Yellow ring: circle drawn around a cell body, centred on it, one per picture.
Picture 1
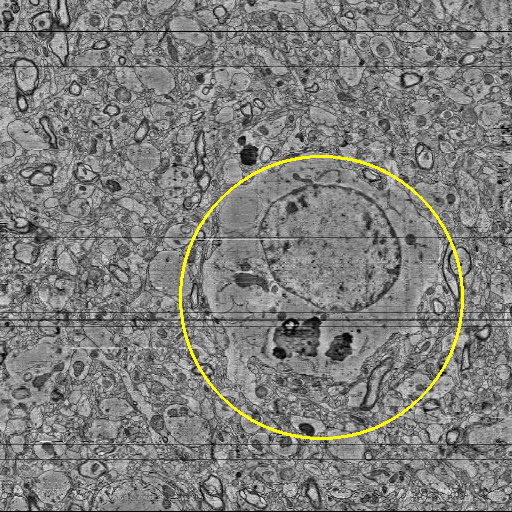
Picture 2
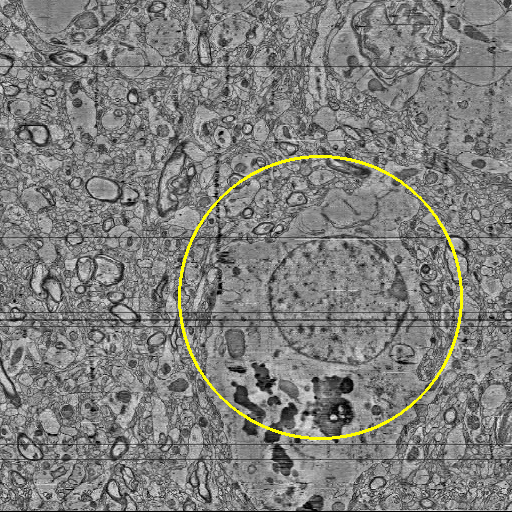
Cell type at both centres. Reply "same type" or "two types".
same type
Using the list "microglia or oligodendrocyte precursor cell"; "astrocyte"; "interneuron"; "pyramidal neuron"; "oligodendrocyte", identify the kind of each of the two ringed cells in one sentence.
Each cell, in the first picture and the second, is an astrocyte.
